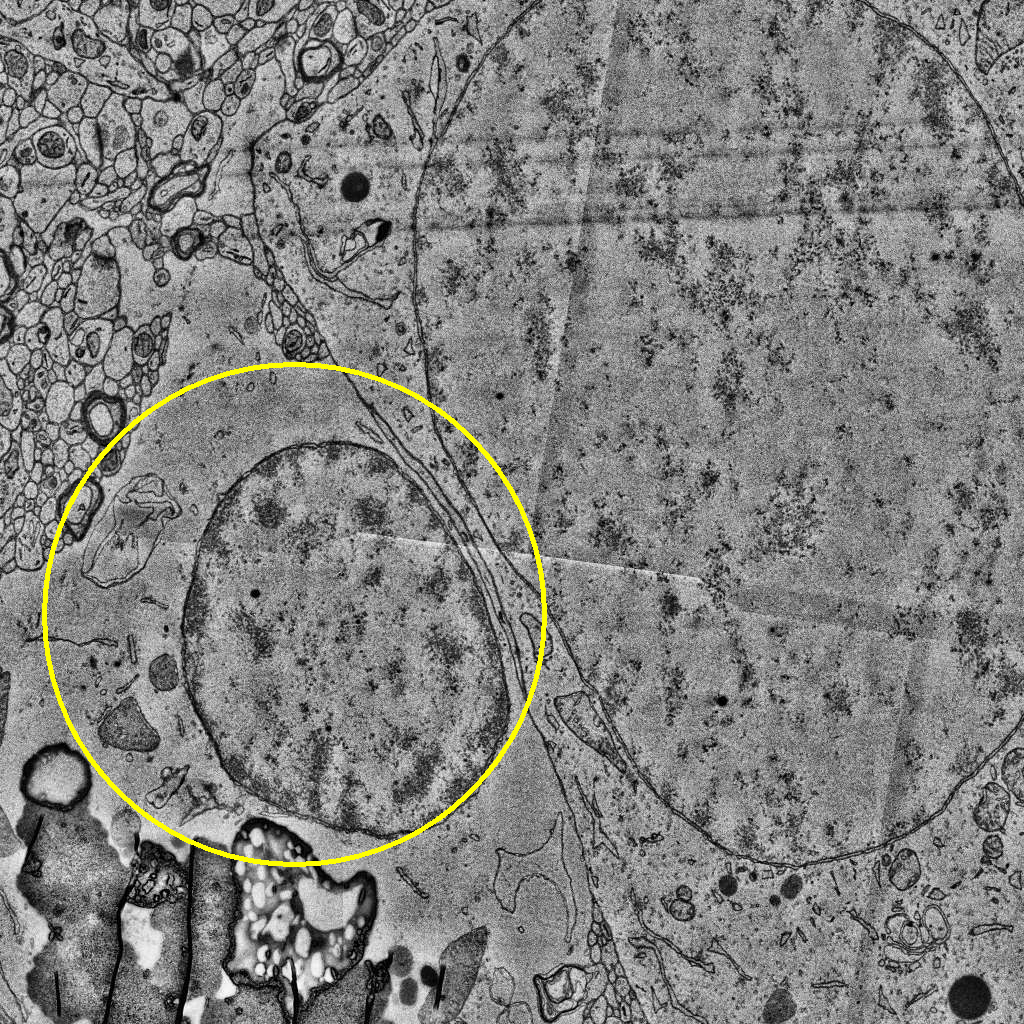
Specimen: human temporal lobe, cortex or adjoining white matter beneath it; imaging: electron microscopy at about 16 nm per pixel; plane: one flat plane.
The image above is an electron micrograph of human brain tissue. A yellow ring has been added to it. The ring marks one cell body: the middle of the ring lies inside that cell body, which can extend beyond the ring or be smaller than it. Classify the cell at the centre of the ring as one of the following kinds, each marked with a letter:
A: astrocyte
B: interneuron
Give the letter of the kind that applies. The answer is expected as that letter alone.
A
